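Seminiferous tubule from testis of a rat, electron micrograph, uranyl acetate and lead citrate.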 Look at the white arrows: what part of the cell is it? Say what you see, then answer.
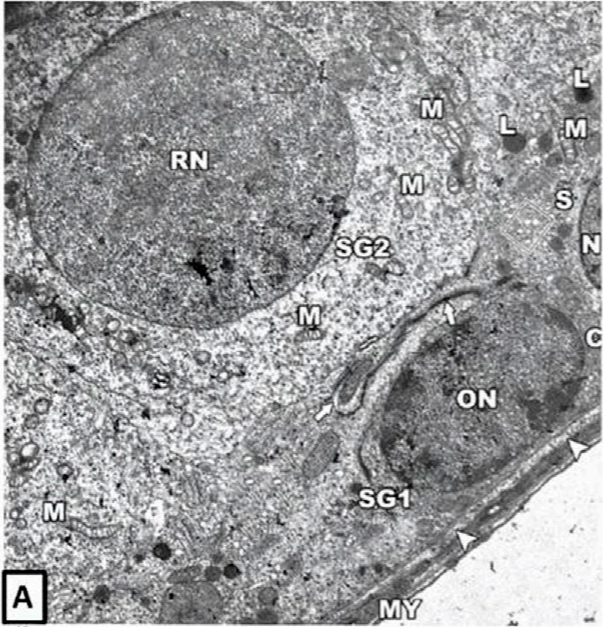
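The arrows point to a winding, folded membrane line between two cells. The border curves around the oval nucleus near the base. So: irregular cell border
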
